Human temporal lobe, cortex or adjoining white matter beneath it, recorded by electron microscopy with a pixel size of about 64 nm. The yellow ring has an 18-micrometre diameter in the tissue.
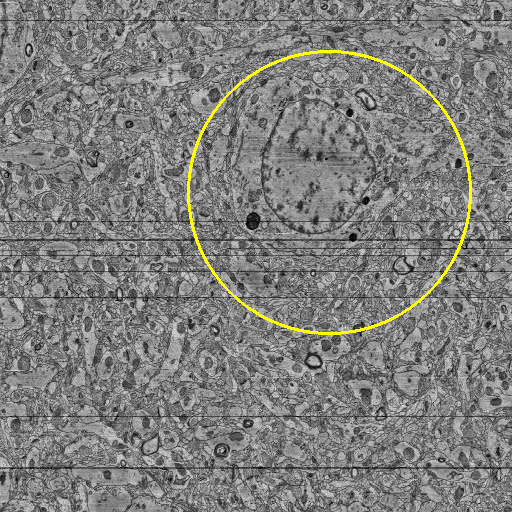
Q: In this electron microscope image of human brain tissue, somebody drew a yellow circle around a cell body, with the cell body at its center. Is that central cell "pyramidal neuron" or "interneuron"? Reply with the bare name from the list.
pyramidal neuron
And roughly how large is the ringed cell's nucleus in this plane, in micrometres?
Approximately 9 micrometres long and 7 micrometres wide, in this plane.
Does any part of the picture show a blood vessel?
No, a blood vessel is absent from this picture.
